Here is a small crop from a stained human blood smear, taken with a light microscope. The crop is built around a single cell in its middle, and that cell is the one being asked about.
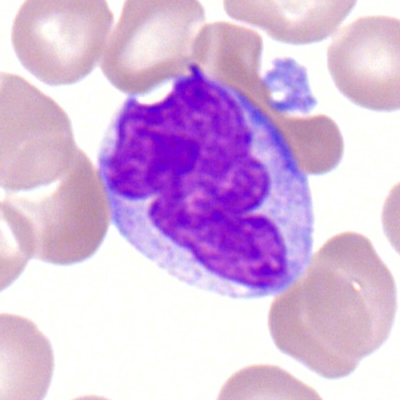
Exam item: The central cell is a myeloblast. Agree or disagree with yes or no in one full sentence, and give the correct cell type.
No, the cell positioned in the middle is a monocyte, not a myeloblast.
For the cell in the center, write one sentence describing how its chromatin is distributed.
Its chromatin is finely dispersed rather than coarsely clumped.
